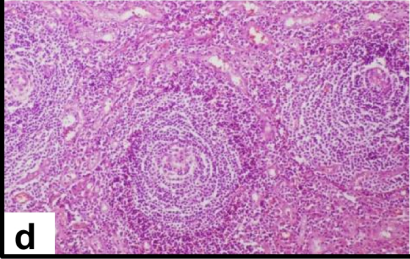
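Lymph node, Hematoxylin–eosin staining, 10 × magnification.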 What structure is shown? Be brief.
Onion skin layers.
